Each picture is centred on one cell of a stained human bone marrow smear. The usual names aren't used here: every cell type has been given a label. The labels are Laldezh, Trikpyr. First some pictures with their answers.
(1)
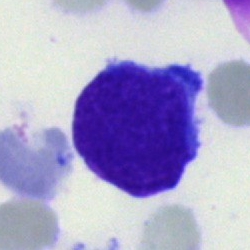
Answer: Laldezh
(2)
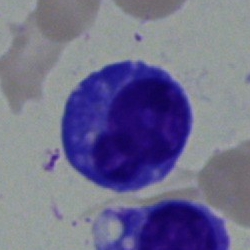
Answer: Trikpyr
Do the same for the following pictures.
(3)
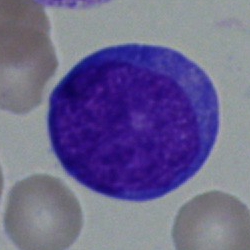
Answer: Laldezh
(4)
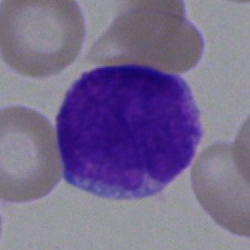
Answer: Laldezh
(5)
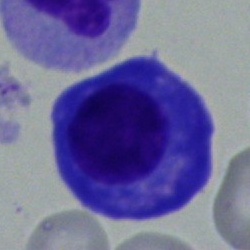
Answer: Trikpyr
